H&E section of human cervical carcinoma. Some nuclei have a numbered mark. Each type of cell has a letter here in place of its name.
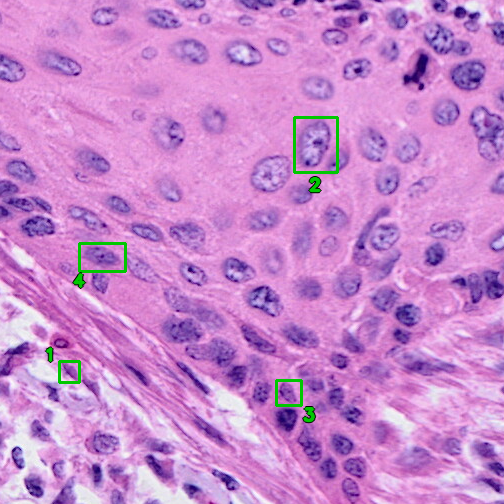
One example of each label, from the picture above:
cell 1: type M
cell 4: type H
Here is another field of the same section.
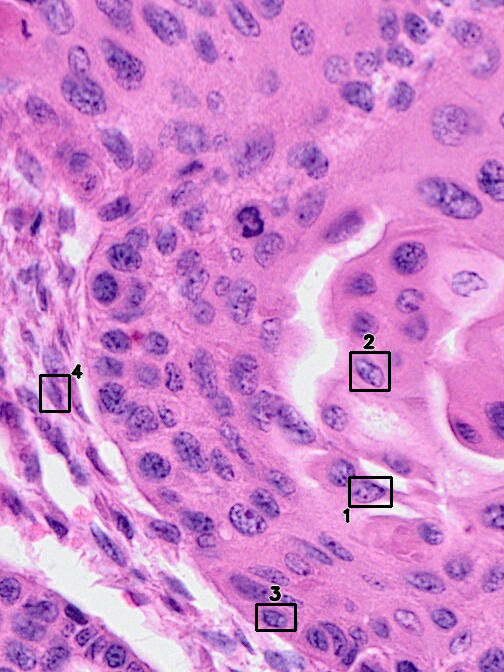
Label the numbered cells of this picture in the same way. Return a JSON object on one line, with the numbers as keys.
{"1": "type H", "2": "type H", "3": "type H", "4": "type M"}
